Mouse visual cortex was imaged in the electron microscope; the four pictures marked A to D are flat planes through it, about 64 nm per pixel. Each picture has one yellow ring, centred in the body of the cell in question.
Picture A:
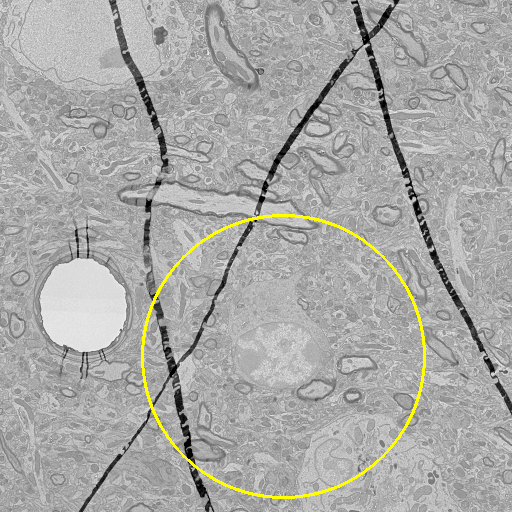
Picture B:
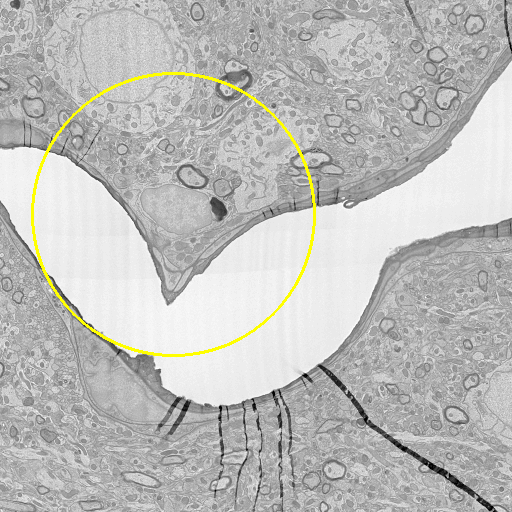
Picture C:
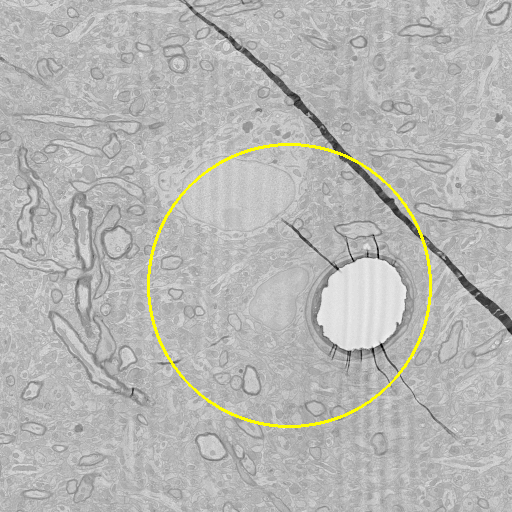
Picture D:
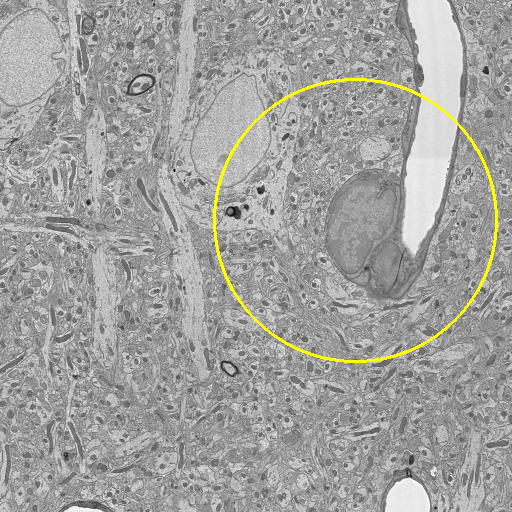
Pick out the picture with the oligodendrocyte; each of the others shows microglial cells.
Picture A is the one that shows the oligodendrocyte.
